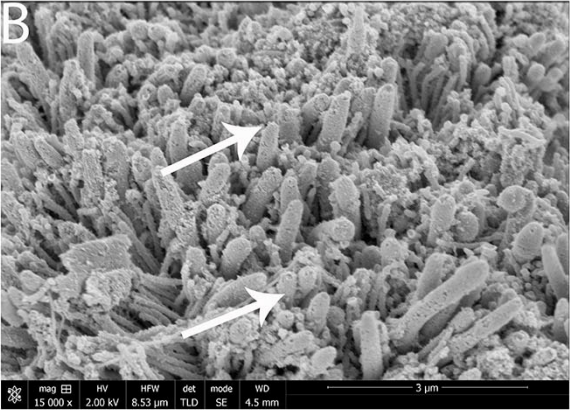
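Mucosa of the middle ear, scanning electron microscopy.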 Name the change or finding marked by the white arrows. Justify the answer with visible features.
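Short. The arrows point to stubby, upright projections much shorter than a full lawn of cilia. Projections are irregular in length and surrounded by debris-like material.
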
